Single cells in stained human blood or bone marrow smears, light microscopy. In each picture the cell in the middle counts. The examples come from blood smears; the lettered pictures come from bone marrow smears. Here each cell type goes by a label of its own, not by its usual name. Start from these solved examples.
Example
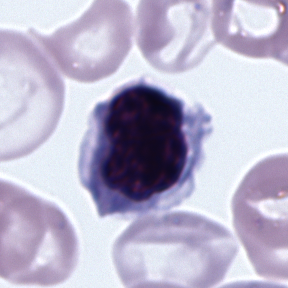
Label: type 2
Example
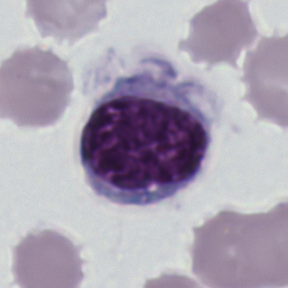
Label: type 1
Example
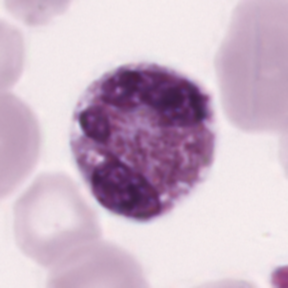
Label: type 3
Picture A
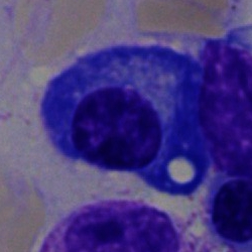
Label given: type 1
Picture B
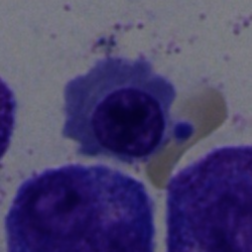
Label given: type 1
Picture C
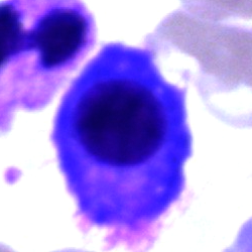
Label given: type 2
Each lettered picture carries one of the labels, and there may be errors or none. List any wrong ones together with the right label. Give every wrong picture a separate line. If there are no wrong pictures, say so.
B: type 2, not type 1
C: type 1, not type 2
